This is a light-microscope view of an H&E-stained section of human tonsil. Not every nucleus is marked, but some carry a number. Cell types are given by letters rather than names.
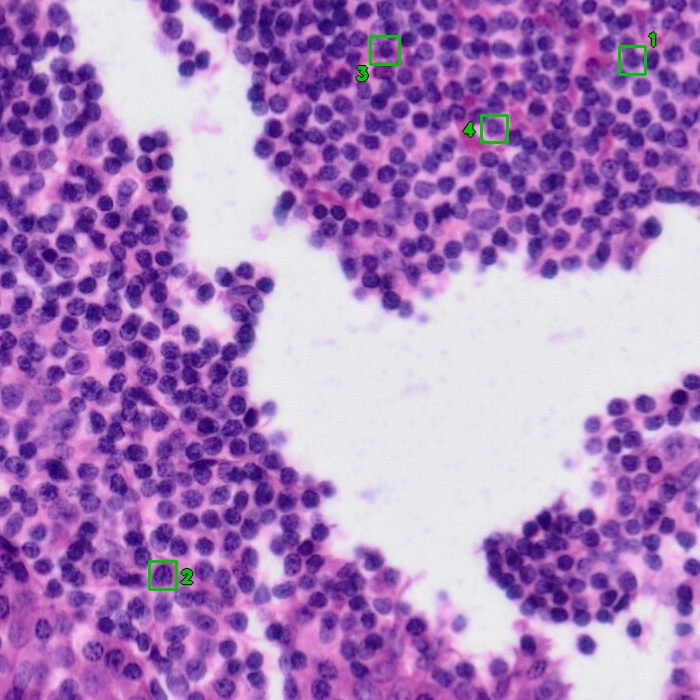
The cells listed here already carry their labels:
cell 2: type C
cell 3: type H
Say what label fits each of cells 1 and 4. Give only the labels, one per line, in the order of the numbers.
type H
type H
